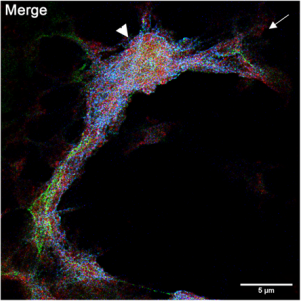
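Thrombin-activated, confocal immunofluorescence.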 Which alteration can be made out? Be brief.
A: Extensive platelet aggregation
